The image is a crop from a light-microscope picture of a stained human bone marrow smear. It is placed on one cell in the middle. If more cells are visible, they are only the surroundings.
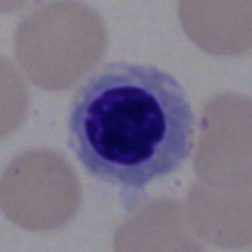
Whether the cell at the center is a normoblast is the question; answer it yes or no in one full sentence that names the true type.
Yes, this central cell is a normoblast.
